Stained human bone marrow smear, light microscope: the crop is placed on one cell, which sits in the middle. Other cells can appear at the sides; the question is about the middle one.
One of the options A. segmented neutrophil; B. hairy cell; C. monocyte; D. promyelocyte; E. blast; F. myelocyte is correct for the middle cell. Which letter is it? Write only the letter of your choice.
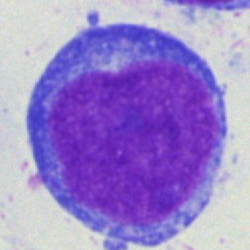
E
